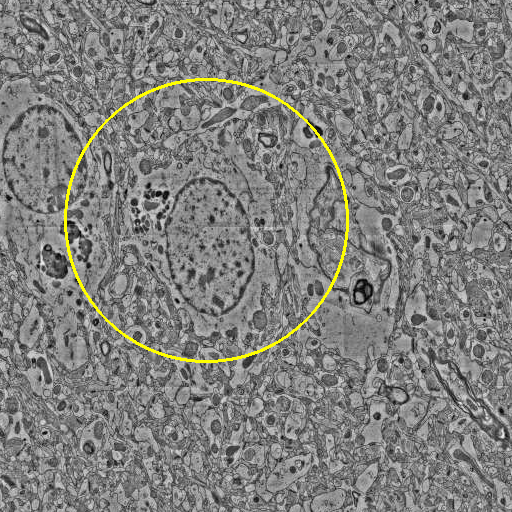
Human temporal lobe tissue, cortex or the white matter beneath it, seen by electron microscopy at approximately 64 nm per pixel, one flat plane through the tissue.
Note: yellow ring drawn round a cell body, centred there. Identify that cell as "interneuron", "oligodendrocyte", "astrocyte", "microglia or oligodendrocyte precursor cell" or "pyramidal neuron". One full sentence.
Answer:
The cell in the middle of the ring is an astrocyte.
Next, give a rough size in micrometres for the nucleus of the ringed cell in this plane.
The nucleus is about 9 micrometres in length and 6 in width, clearly longer than it is wide in this plane.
